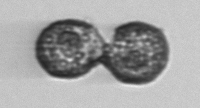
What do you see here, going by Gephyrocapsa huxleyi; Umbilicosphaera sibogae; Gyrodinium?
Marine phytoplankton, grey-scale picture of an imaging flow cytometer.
I see Umbilicosphaera sibogae.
